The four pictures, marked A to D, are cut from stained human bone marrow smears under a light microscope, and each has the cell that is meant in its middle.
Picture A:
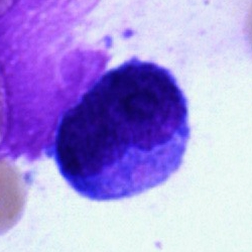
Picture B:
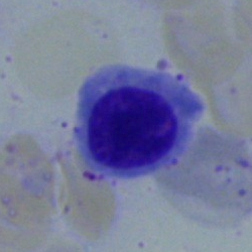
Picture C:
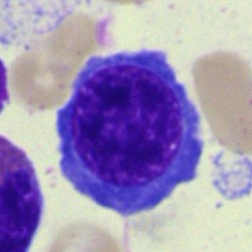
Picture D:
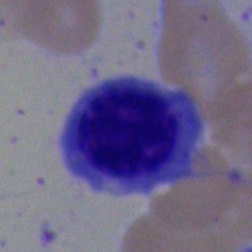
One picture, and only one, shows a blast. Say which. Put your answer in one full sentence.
The blast is the one in picture A.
